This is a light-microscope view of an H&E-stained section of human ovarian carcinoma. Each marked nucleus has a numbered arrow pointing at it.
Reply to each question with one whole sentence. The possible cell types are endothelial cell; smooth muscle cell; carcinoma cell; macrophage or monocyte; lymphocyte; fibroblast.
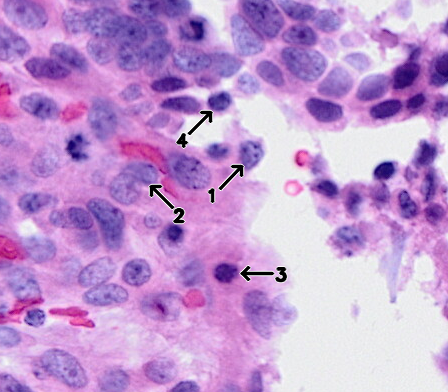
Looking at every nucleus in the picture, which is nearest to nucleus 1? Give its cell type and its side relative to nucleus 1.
Lying to the left of nucleus 1, the nearest nucleus is that of a lymphocyte.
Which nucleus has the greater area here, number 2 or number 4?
Nucleus 2 is the larger one, covering about 1.5 times the area of nucleus 4.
